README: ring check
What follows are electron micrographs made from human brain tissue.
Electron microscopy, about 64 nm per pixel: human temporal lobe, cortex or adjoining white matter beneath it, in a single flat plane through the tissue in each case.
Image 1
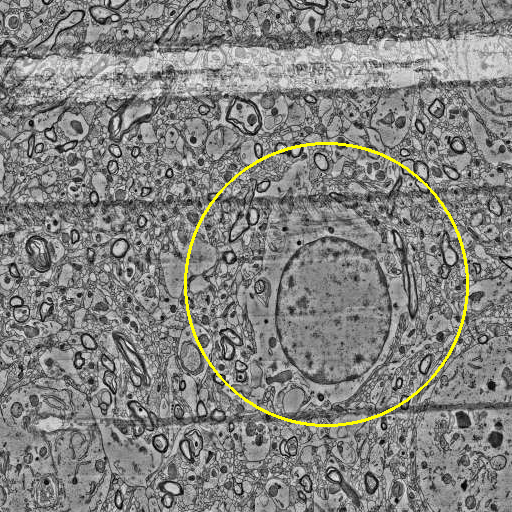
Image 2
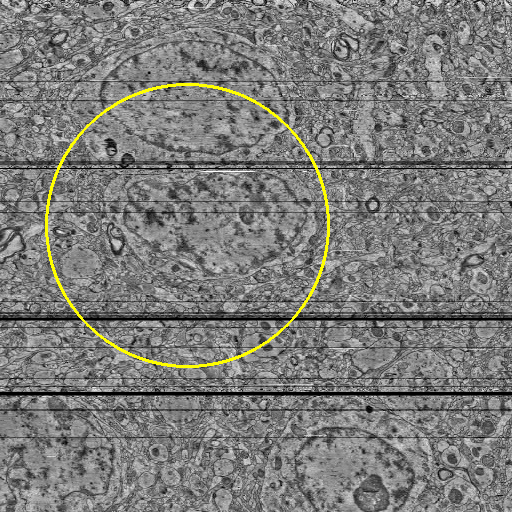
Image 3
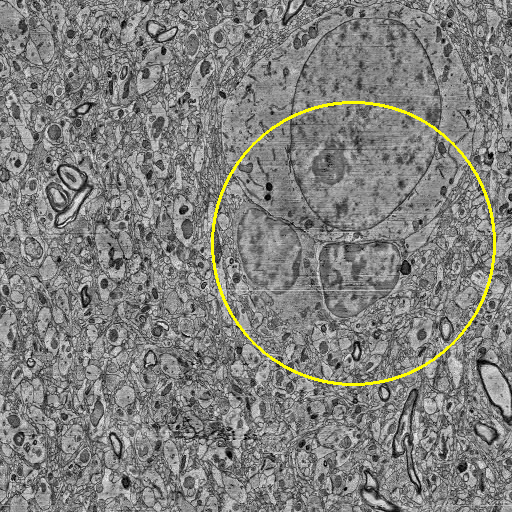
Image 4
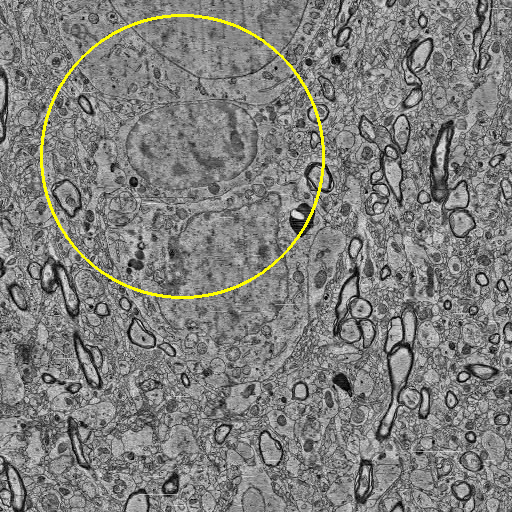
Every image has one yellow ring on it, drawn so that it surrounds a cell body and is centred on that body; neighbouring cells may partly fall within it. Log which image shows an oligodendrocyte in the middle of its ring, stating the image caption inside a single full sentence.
Image 4 is where the cell at the ring's centre matches the one asked for.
